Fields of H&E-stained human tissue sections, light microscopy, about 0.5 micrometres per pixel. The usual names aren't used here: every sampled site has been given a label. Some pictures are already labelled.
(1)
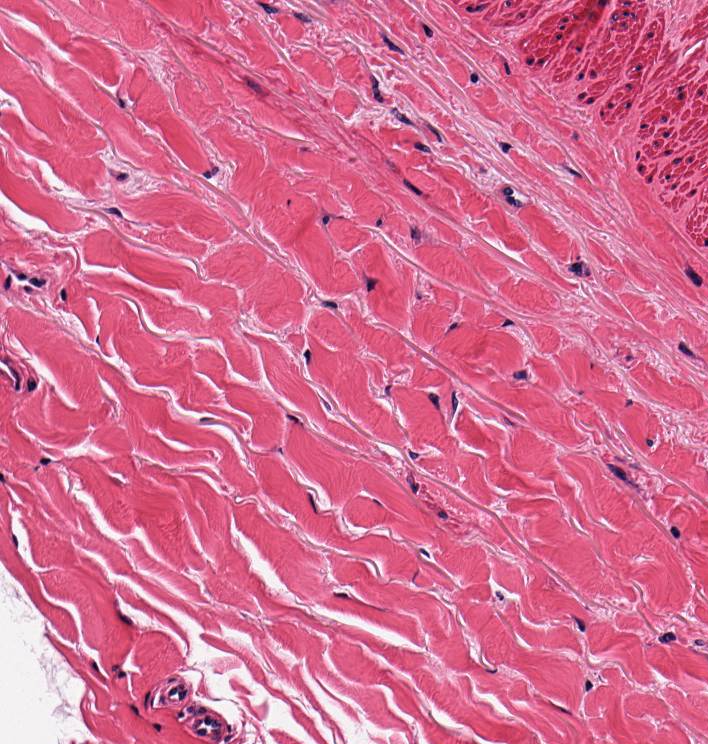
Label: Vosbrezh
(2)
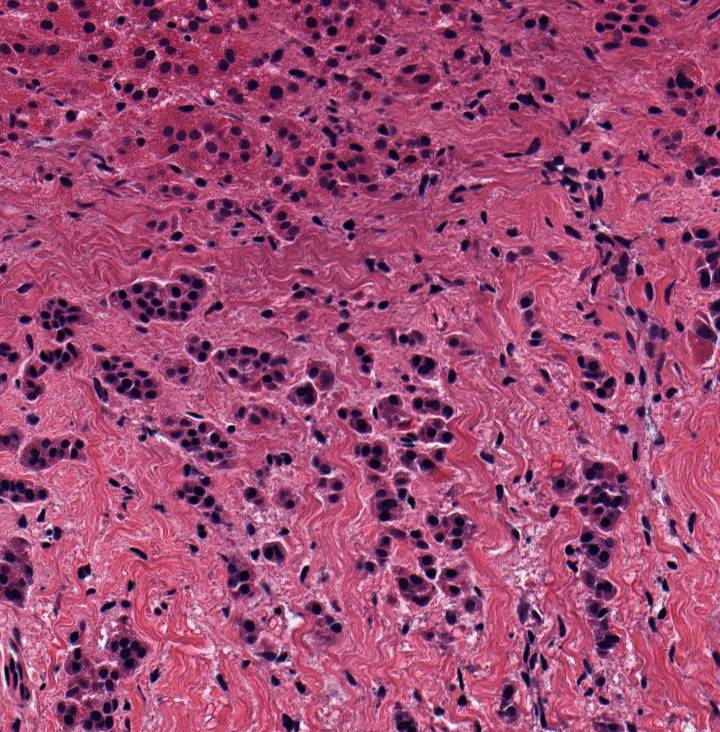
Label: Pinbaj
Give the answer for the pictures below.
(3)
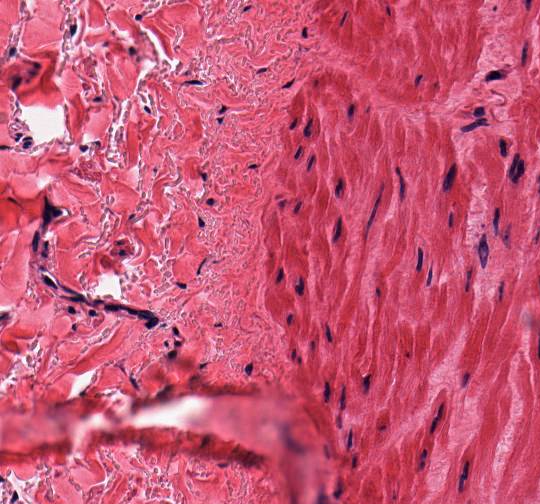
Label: Vosbrezh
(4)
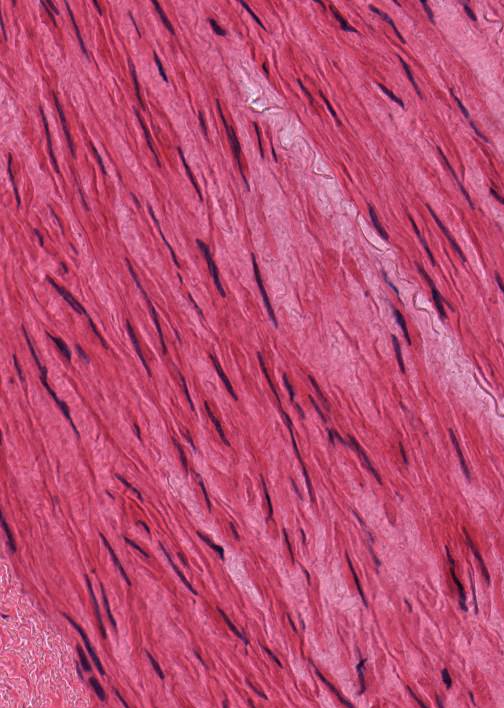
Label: Vosbrezh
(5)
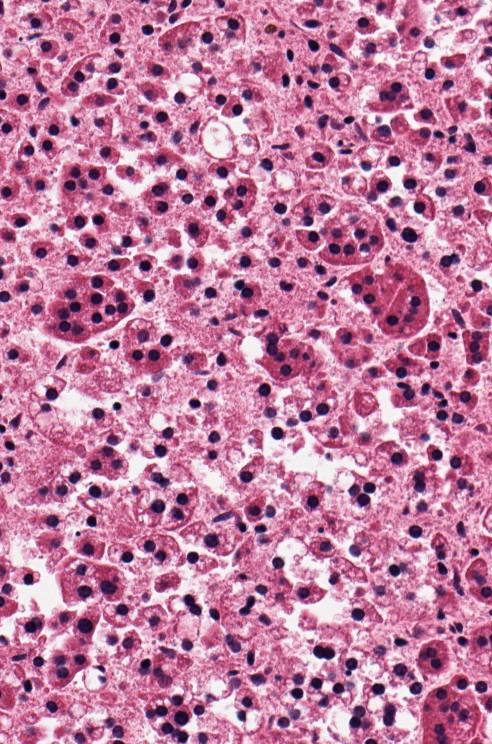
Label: Pinbaj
